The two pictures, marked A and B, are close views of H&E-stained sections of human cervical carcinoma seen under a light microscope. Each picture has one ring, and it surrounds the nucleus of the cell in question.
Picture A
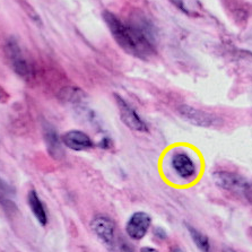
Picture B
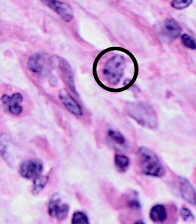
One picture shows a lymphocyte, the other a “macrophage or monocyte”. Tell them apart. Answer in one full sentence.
Picture B shows a “macrophage or monocyte”, while picture A shows a lymphocyte.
